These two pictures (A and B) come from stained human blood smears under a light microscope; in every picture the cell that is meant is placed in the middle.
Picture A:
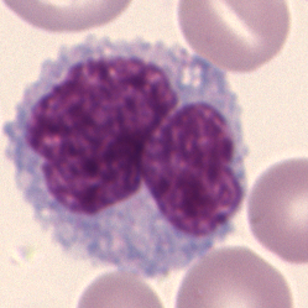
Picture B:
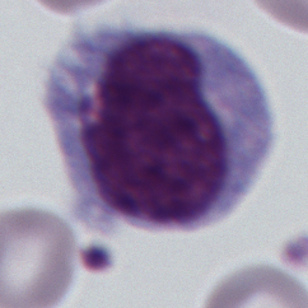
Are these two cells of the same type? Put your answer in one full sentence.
Yes; the cells in both pictures are monocytes.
